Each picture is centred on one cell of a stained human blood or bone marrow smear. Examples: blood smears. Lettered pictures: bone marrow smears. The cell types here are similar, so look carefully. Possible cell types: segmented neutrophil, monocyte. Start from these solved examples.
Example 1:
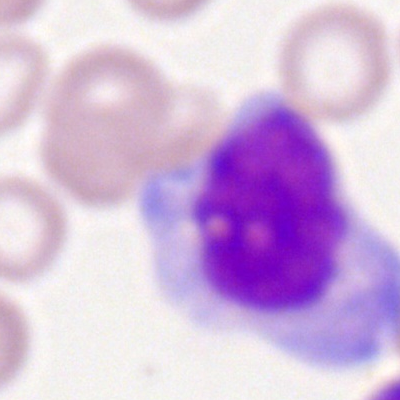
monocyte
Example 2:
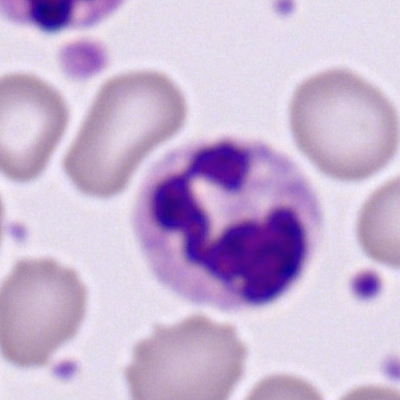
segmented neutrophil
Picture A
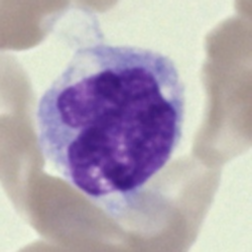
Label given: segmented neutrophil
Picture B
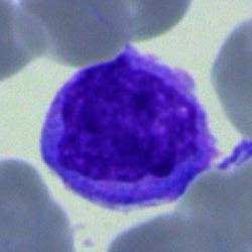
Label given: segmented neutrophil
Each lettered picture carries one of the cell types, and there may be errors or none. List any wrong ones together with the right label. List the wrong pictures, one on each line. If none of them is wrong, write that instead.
Wrong: A (segmented neutrophil); correct: monocyte
Wrong: B (segmented neutrophil); correct: monocyte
